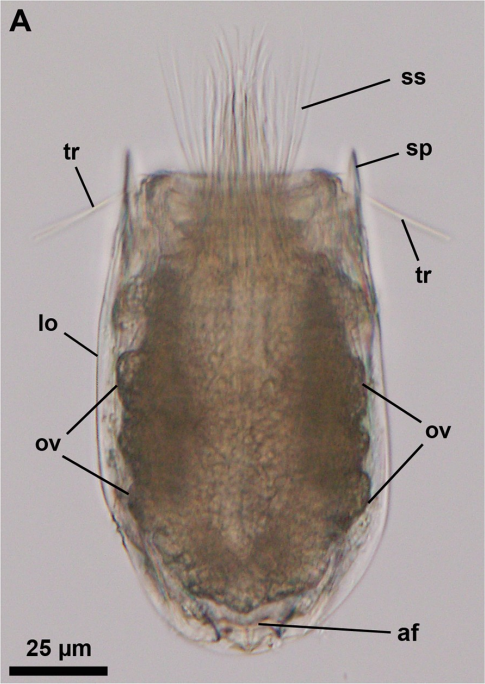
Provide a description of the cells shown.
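A thin, clear, vase-shaped armour of cuticle plates surrounds the body, ending forward in a pair of pointed spikes. From the front a brush of fine spines projects, and long thin bristles point out to either side. Most of the abdomen is filled by large, dark brown, granular organs lying along both sides, their outer edges lobed. These large masses fill much of the body cavity. At the rear, within the narrow end of the armour, lies a small folded field.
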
